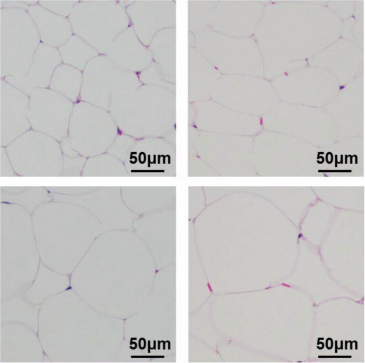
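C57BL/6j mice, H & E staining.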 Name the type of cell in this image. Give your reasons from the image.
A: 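Large polygonal cells with clear, empty-looking interiors. Thin pink borders between neighbouring cells. Few flattened dark nuclei pressed against the cell borders.
Adipocyte.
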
